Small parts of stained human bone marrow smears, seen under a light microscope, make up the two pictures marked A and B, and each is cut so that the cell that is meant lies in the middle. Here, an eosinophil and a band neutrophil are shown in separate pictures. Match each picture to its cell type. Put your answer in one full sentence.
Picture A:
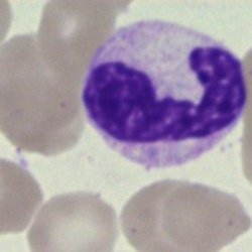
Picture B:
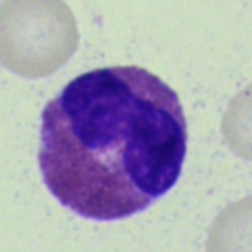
Picture B shows an eosinophil, while picture A shows a band neutrophil.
